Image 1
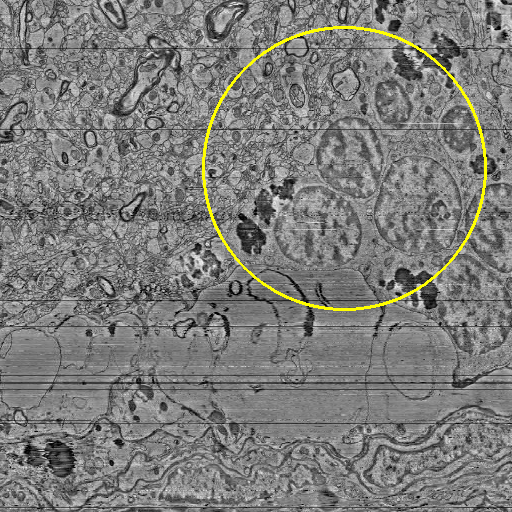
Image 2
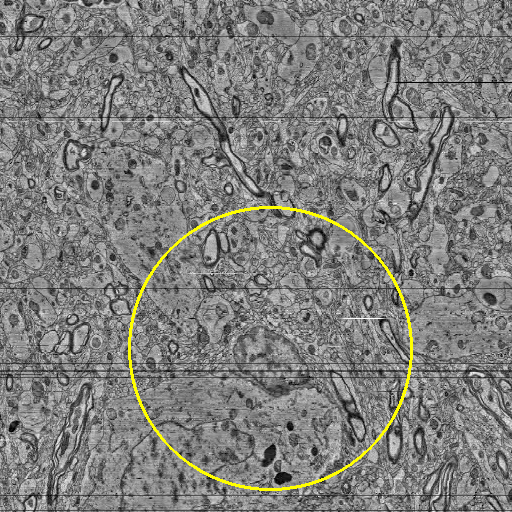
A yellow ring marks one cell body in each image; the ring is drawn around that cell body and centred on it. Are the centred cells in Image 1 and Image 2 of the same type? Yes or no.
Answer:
yes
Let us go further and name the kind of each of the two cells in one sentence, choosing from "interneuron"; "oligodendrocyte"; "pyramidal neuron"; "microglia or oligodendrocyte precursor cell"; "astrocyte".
In each picture the ringed cell is an oligodendrocyte.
